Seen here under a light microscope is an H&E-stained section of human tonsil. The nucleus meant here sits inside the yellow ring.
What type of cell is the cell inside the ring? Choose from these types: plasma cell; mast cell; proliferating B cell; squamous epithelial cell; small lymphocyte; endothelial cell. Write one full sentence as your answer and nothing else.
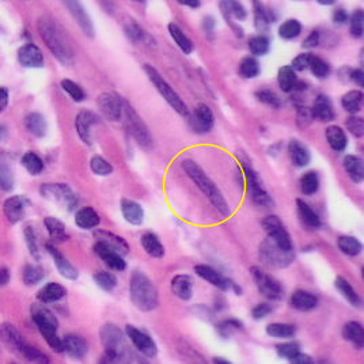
In the stained section, the cell inside the ring is an endothelial cell.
